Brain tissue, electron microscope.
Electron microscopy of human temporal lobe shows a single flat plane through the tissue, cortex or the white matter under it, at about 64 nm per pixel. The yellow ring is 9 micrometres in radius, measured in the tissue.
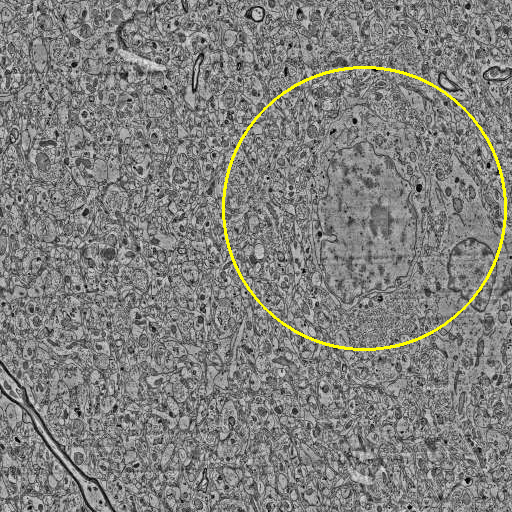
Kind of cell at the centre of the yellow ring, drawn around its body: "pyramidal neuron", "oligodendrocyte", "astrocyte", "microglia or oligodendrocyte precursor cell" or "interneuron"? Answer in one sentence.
The ring's centre falls on an interneuron.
